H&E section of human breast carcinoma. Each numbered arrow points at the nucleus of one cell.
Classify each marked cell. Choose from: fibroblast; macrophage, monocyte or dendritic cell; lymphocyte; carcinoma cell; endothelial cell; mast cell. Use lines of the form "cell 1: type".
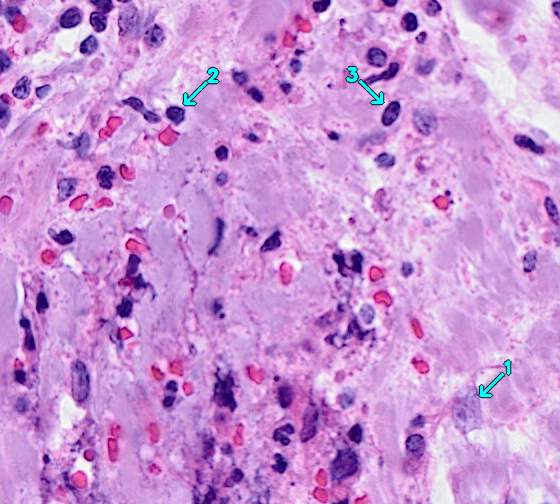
cell 1: fibroblast
cell 2: lymphocyte
cell 3: lymphocyte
